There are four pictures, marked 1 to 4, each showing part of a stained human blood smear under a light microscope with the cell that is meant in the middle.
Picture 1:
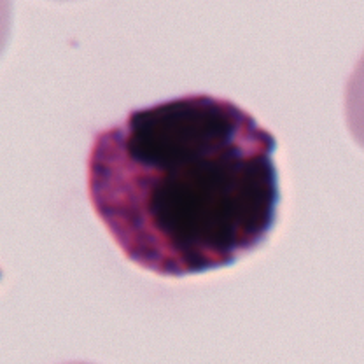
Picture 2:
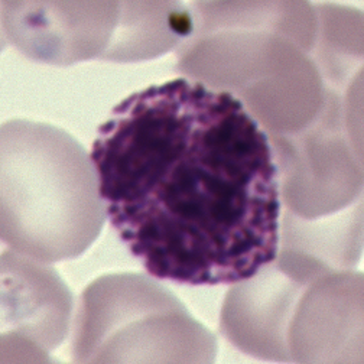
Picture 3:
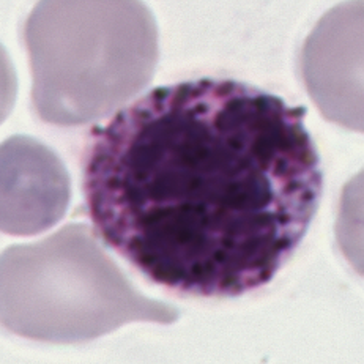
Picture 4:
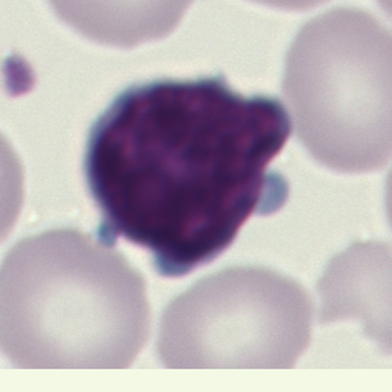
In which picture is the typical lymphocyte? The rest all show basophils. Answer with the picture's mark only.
4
